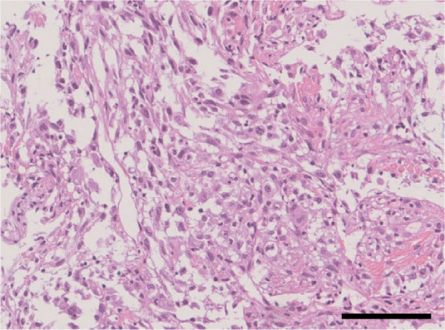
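The tumor cells are elongated and crowded, with oval to elongated purple nuclei and pale to pink cytoplasm. They run in loose sheets and short bundles in varying directions rather than forming glands or alveoli. Between the cells lie strands of pink fibrous stroma, and clefts and pale spaces open within the loosely arranged areas. Some cells are plumper, with rounder nuclei, giving a somewhat disorderly, pleomorphic appearance.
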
